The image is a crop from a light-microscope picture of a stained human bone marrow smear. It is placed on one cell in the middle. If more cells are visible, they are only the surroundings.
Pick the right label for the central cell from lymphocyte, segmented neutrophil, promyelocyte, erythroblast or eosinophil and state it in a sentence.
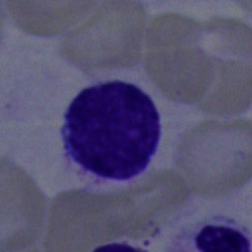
The middle position in this crop is taken by a lymphocyte.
